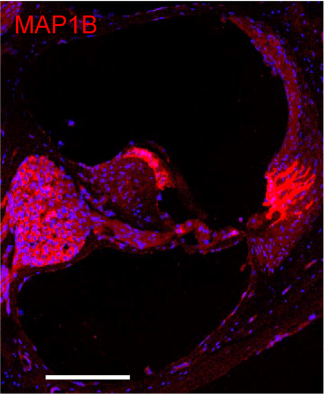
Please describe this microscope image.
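Cross-section of a cochlear turn with the spiral ganglion at the left, where many closely packed round neuron cell bodies show strong red cytoplasm around blue nuclei. Red-stained tissue extends from the ganglion toward the sensory region at the floor of the duct, and a bright red striated band lines the outer wall on the right. The fluid spaces of the duct appear dark and unstained.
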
